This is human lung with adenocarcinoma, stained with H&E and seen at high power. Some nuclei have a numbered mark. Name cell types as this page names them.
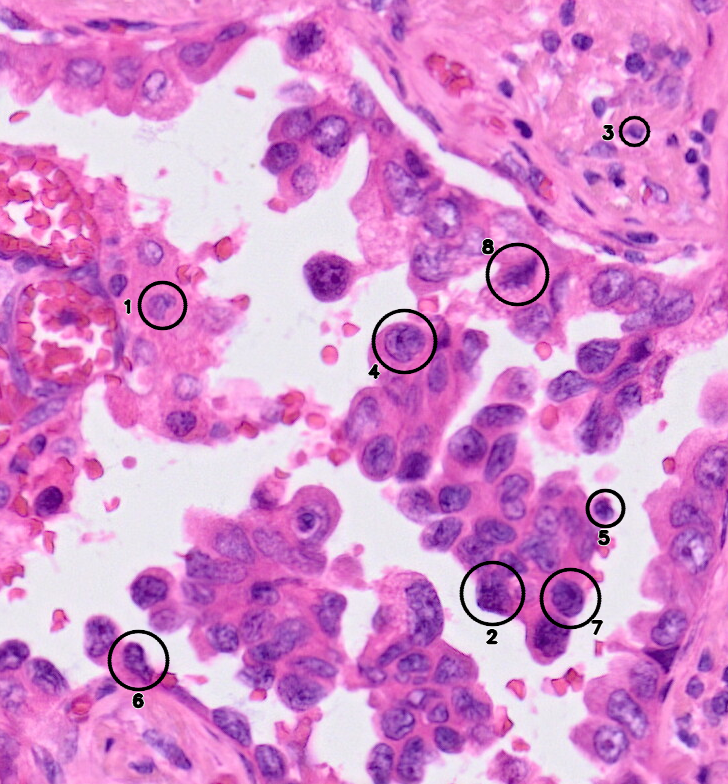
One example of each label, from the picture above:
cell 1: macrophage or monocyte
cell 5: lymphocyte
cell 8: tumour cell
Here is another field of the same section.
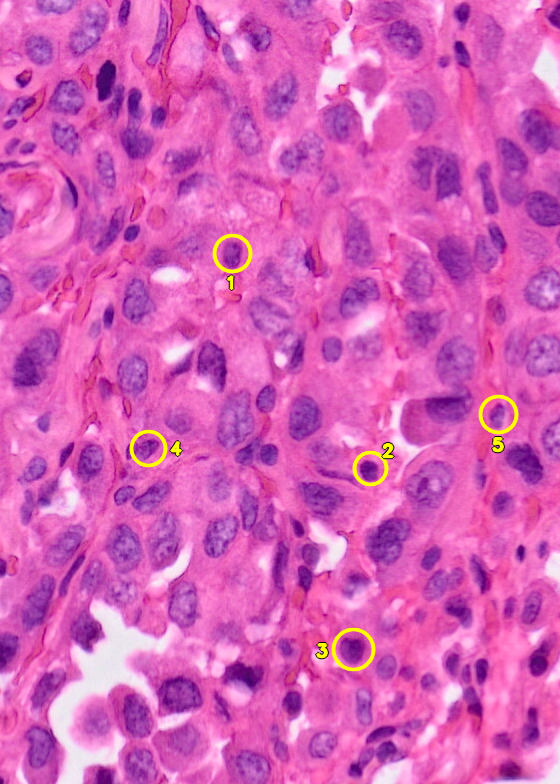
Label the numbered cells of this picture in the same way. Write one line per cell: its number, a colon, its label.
1: macrophage or monocyte
2: lymphocyte
3: macrophage or monocyte
4: macrophage or monocyte
5: lymphocyte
